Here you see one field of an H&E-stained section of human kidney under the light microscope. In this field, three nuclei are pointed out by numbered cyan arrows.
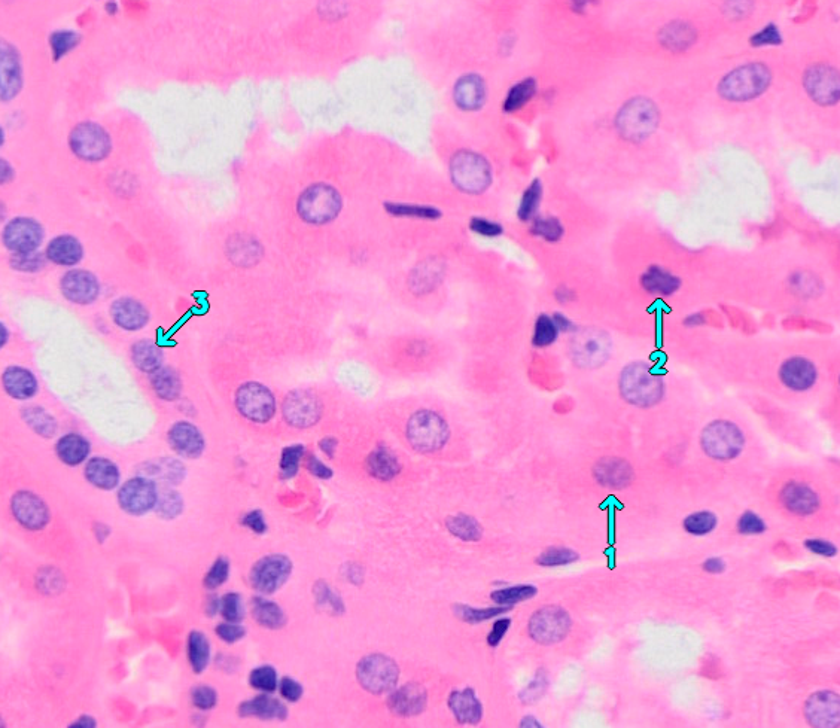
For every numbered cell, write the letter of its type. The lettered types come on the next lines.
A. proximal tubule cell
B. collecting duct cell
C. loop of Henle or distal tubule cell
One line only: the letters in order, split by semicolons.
A; A; B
